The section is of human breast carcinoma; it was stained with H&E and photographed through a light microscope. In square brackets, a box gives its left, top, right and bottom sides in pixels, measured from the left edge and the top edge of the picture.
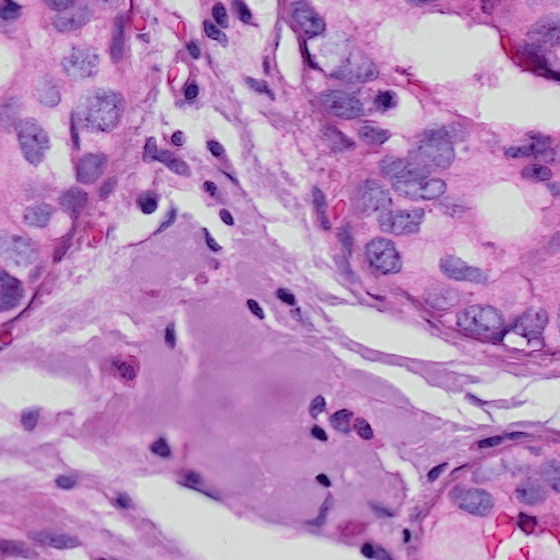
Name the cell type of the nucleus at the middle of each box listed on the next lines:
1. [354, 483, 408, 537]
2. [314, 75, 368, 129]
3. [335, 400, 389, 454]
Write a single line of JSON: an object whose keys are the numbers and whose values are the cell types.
{"1": "fibroblast", "2": "carcinoma cell", "3": "mast cell"}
